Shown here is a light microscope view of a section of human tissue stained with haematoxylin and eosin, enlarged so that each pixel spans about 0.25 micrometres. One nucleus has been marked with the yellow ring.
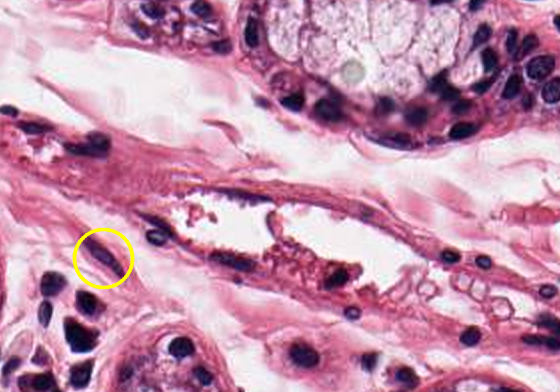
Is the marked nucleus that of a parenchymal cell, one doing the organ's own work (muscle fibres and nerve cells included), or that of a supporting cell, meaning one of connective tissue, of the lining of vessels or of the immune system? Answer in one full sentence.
The marked nucleus is designated as the nucleus of a supporting cell.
